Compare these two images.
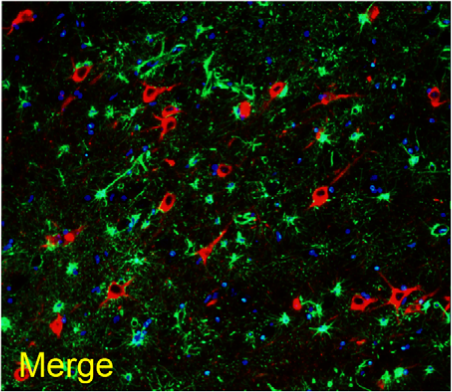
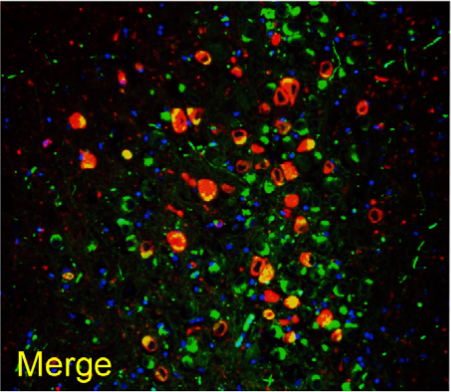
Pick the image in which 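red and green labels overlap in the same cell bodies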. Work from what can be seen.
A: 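The second image. First image: red cell bodies and green star-shaped cells lie side by side without yellow overlap. Second image: many large cell bodies appear yellow where red and green coincide.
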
